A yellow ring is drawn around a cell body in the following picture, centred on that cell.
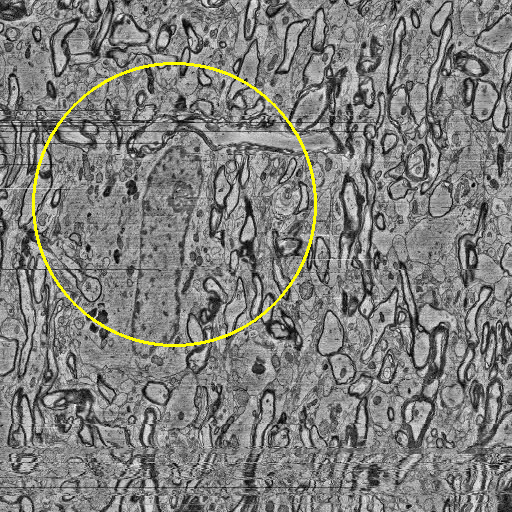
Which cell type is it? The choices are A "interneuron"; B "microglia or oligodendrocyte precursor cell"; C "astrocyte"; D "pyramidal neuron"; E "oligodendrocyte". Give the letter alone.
C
